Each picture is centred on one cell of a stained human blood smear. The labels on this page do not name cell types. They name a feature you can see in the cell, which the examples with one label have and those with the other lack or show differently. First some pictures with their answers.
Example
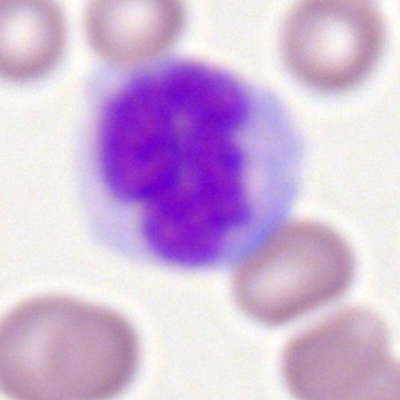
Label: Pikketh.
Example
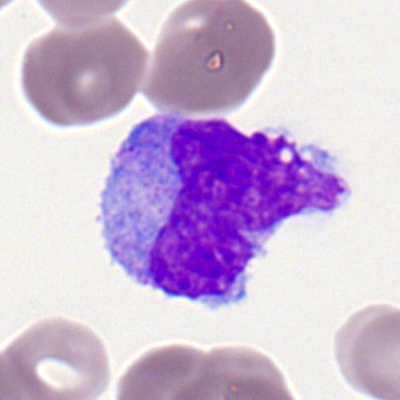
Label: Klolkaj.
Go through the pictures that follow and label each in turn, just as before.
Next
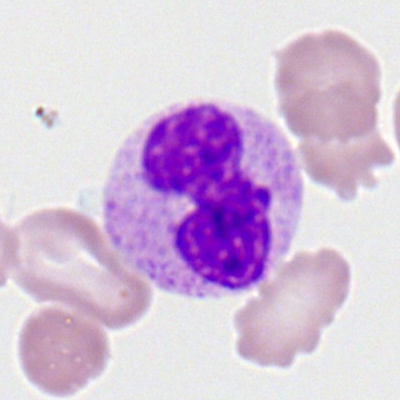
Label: Klolkaj.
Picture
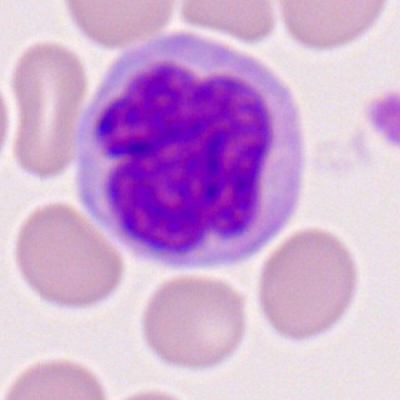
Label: Pikketh.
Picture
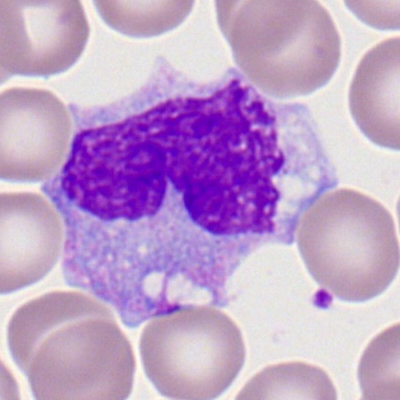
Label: Klolkaj.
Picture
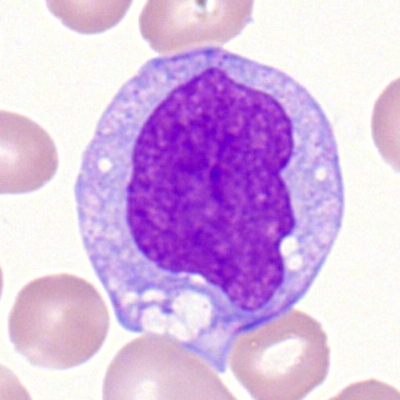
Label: Klolkaj.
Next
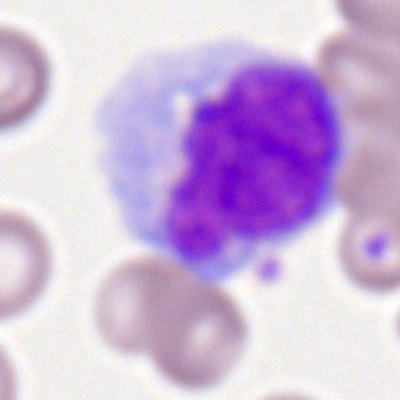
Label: Pikketh.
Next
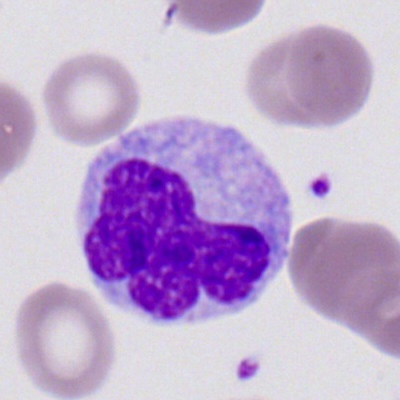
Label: Klolkaj.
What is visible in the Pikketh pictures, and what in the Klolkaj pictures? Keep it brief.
Pikketh: no visible granules; Klolkaj: many visible granules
